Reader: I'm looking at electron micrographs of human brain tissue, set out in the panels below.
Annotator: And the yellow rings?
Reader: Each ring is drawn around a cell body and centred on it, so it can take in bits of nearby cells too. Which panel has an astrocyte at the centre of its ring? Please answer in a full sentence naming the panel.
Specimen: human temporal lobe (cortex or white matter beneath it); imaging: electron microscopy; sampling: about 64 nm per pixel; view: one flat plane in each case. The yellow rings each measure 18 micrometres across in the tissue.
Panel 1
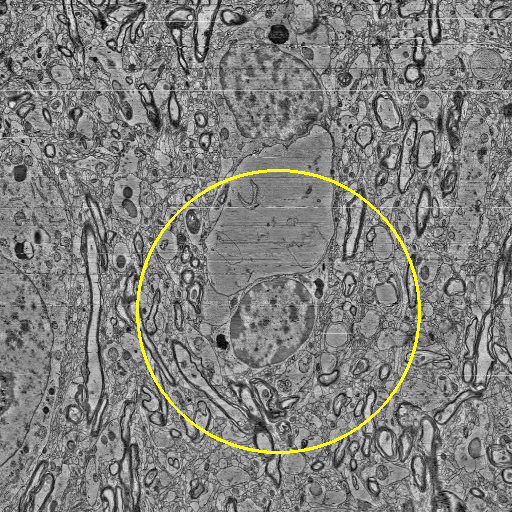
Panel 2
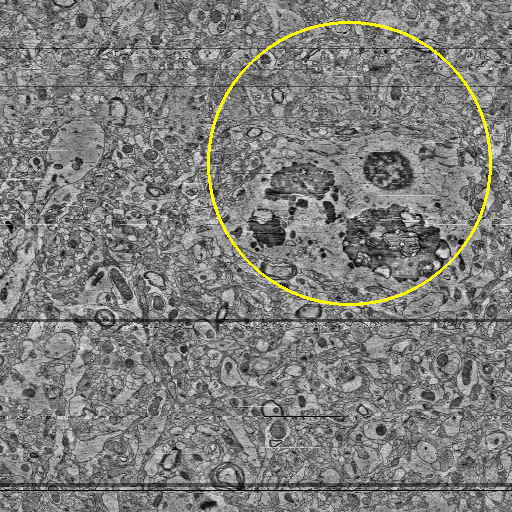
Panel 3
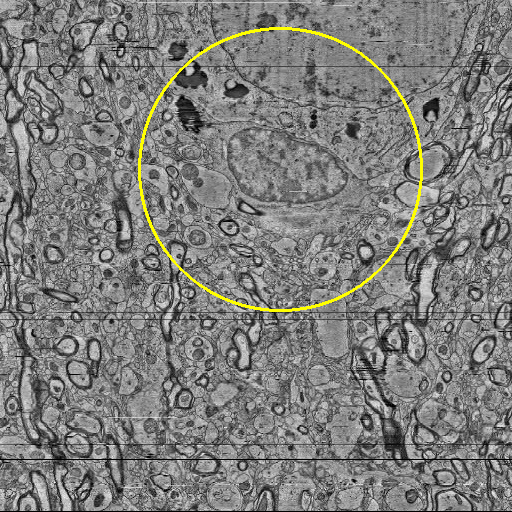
Panel 2 has it at the centre of its ring.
